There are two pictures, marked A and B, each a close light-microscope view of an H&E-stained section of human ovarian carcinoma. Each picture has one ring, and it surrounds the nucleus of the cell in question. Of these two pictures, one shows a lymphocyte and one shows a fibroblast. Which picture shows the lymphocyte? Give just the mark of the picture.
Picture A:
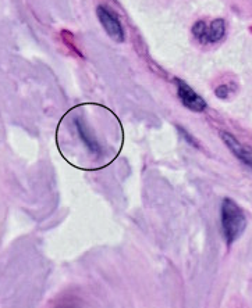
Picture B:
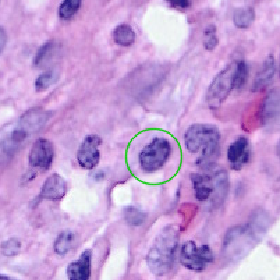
B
